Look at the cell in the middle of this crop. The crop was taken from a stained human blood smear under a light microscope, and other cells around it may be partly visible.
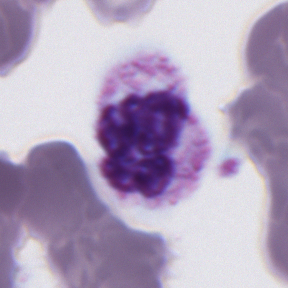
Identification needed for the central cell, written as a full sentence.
At the middle of the frame sits a segmented neutrophil.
